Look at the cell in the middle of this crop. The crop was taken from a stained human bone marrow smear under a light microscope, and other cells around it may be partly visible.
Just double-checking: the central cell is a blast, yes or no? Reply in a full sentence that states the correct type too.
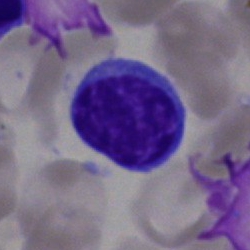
No, the central cell should be identified as a lymphocyte, not as a blast.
